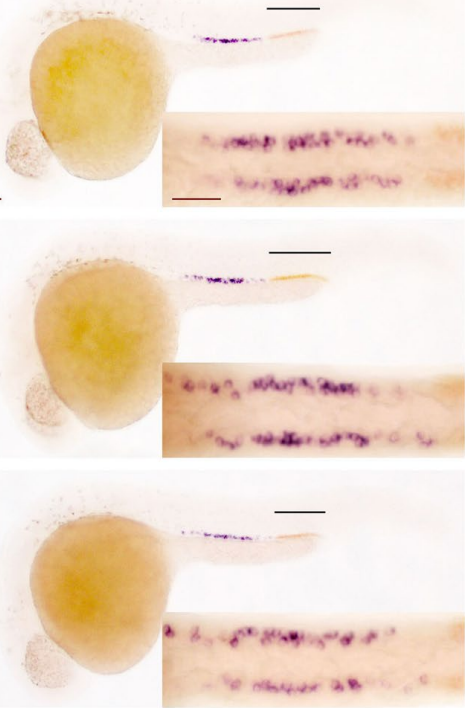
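These are whole embryos seen from the side, each with a large yellowish yolk, a round eye at the front and a slender trunk and tail extending behind. Along the trunk above the yolk extension runs a thin stretch of purple-stained cells, followed further back by a short orange-stained segment that the black line sits over.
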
